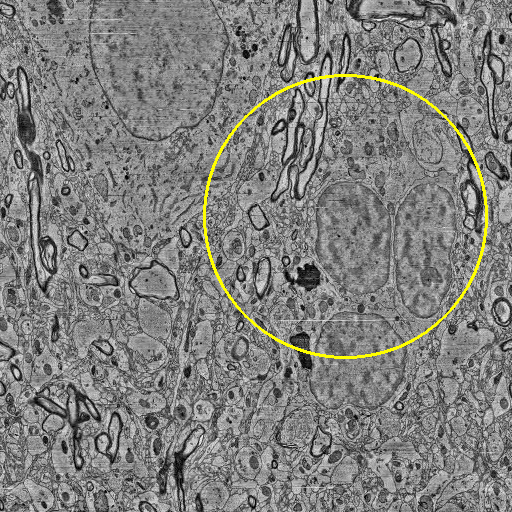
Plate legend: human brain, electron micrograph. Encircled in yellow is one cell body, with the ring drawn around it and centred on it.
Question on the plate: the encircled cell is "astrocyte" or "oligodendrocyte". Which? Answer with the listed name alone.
oligodendrocyte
